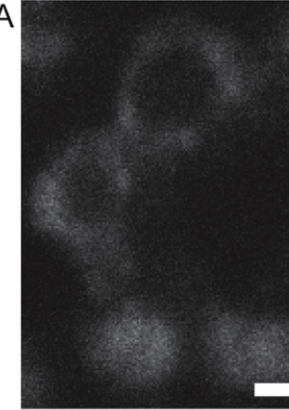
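Against a dark background, a set of rounded, softly outlined grey-white profiles lies side by side. Some are ring-like, with brighter rims around darker centres, and they form a loose cluster that partly encircles a large dark central area. The signal is grainy and speckled rather than smooth, so individual bright points are scattered throughout the brighter regions.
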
